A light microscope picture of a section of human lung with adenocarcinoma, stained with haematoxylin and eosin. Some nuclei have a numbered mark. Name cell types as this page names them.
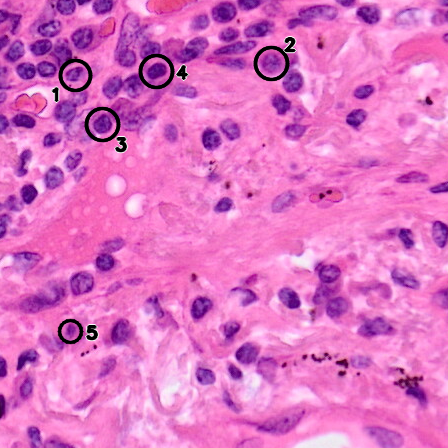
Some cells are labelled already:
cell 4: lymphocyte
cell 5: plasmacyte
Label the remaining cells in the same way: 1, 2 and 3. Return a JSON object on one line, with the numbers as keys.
{"1": "lymphocyte", "2": "plasmacyte", "3": "lymphocyte"}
